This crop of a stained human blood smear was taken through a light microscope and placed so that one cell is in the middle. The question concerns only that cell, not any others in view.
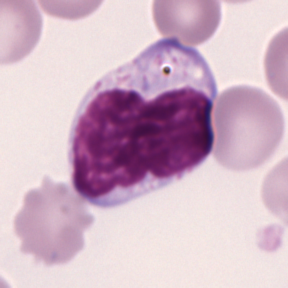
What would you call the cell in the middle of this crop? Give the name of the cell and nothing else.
large granular lymphocyte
